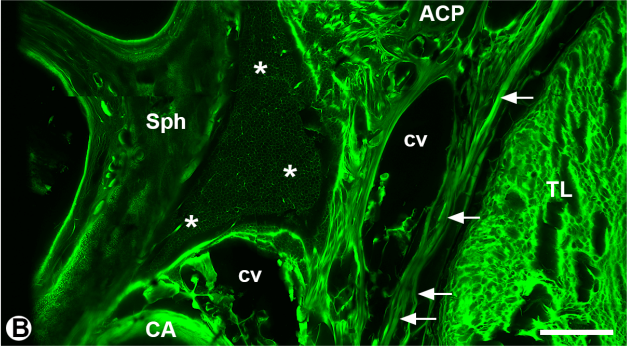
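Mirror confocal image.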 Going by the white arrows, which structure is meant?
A: lateral meningeal dural wall of the sinus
